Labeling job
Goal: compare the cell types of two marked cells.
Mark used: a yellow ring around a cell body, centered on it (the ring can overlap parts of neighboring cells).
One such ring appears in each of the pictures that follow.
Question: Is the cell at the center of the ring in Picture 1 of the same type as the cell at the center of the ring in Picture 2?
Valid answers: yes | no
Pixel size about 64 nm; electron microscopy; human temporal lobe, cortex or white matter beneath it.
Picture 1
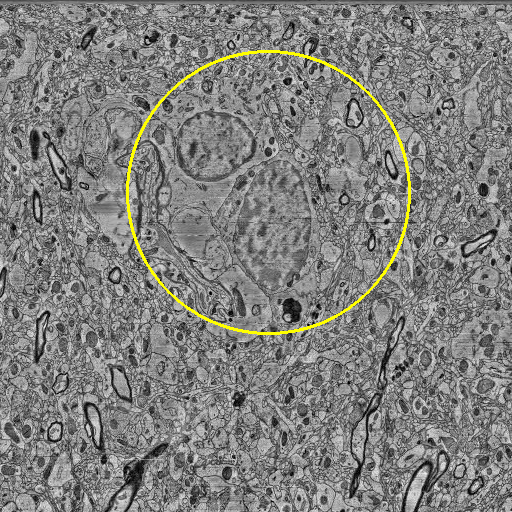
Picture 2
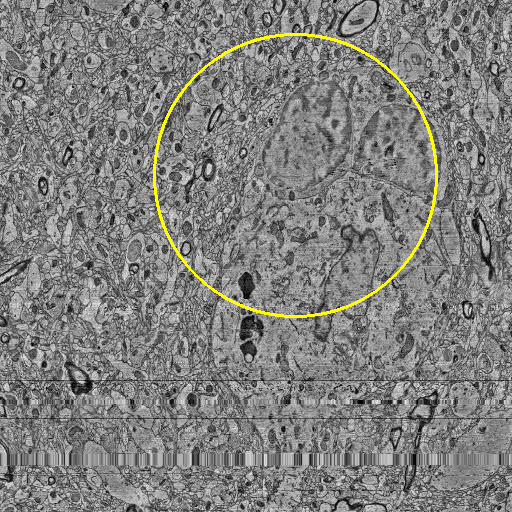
yes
